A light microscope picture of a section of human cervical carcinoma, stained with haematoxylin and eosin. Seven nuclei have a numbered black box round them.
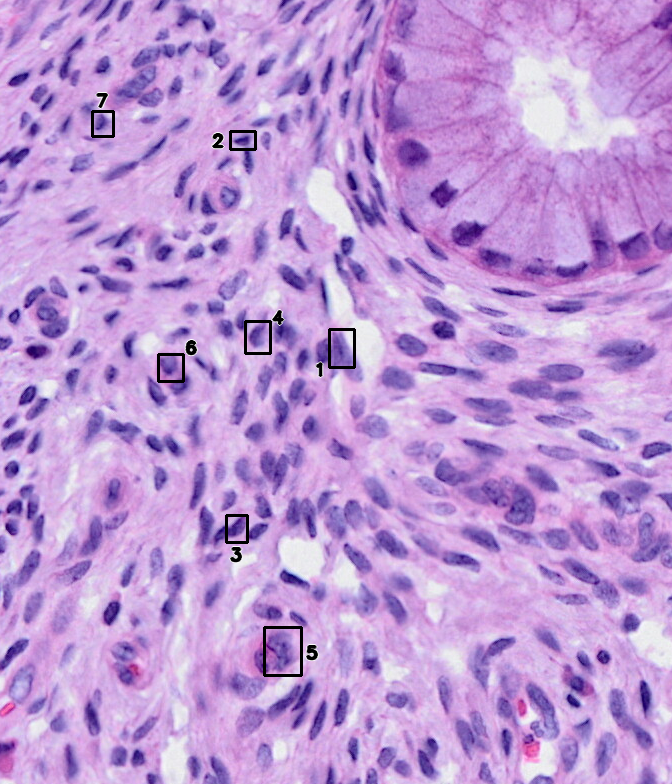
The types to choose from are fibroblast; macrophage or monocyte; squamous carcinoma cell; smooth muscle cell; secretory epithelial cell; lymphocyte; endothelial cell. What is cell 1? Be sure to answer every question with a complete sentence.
Cell 1, among those numbered, is an endothelial cell.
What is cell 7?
Looking at the numbered marks, cell 7 is a fibroblast.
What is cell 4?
Cell 4 should be recorded as a fibroblast.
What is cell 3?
Number 3 is placed on a fibroblast here.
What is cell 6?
The identity of cell 6 is that of an endothelial cell.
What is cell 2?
Cell 2, as marked in the section, is a fibroblast.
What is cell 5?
Regarding cell 5, this one is an endothelial cell.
